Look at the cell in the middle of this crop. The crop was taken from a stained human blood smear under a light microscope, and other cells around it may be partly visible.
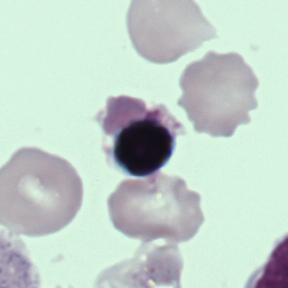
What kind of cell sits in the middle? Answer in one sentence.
The cell featured at the centre of this crop is a normoblast.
